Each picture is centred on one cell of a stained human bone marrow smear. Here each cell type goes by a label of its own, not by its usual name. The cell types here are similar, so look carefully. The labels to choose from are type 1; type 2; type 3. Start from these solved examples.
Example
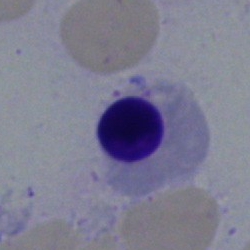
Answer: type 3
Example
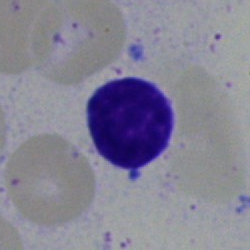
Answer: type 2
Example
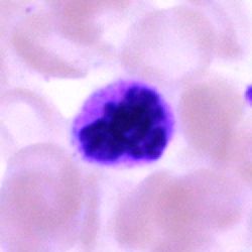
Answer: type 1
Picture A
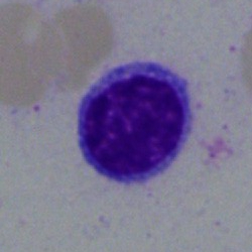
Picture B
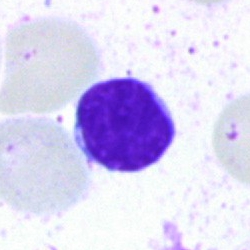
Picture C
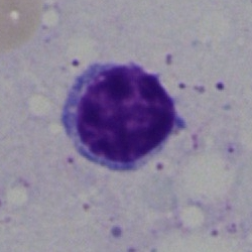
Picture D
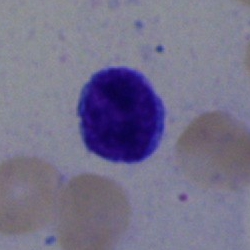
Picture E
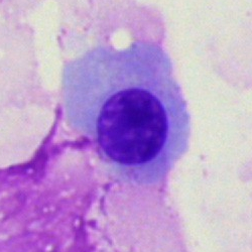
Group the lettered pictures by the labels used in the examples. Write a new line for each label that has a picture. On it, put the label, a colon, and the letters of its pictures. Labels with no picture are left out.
type 2: A, B, C, D
type 3: E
